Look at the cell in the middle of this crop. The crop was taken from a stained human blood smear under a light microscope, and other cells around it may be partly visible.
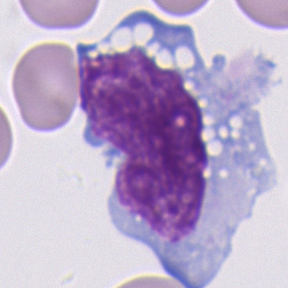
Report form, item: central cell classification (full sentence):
Whatever else lies nearby, the middle cell is a myeloblast.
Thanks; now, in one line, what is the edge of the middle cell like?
Projections or ragged segments give this cell an irregular rather than smooth border.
